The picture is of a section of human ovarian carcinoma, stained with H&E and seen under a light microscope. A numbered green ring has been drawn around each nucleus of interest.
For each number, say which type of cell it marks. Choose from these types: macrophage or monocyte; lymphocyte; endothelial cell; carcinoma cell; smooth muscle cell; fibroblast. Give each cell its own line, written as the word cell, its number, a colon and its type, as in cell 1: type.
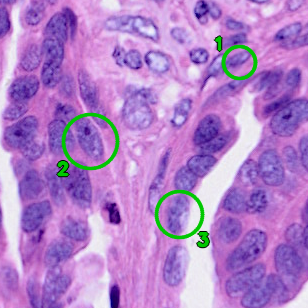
cell 1: fibroblast
cell 2: carcinoma cell
cell 3: carcinoma cell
